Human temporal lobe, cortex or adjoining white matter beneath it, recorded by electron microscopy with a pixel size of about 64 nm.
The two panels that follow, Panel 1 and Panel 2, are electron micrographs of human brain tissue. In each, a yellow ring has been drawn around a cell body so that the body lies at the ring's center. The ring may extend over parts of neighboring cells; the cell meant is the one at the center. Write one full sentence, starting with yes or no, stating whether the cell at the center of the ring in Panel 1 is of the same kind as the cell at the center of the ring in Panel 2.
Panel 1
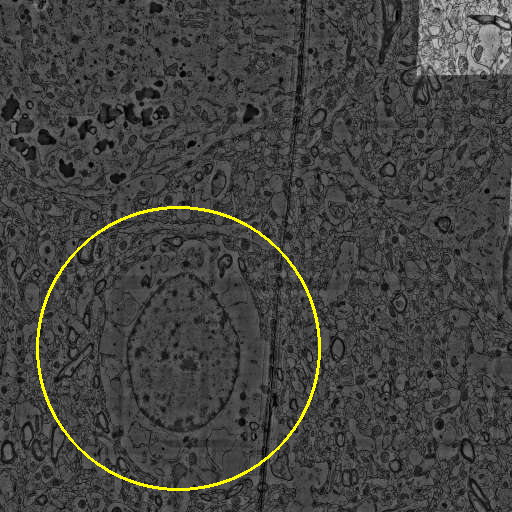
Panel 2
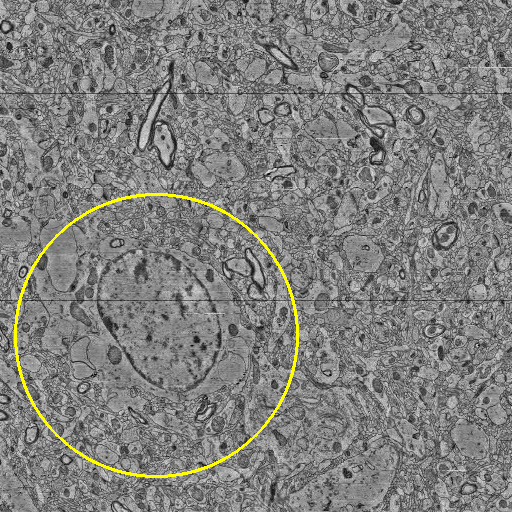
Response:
Yes, the cells in both panels are of the same kind.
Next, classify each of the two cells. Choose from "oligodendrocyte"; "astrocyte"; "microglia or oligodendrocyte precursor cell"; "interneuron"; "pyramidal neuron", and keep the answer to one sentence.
Each one of the two ringed cells is an astrocyte.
